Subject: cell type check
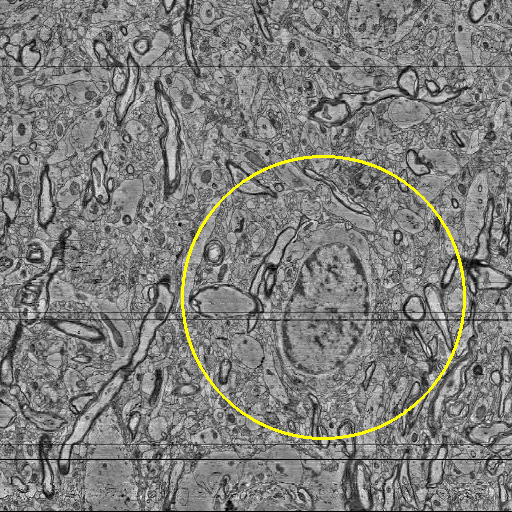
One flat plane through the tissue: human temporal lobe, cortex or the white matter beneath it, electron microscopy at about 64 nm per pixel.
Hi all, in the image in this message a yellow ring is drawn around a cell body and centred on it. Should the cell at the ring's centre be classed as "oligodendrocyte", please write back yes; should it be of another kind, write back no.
no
